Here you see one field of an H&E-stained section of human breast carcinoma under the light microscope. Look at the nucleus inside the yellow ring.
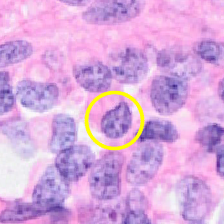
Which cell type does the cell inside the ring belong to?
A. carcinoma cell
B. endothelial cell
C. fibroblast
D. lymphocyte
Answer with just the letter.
A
